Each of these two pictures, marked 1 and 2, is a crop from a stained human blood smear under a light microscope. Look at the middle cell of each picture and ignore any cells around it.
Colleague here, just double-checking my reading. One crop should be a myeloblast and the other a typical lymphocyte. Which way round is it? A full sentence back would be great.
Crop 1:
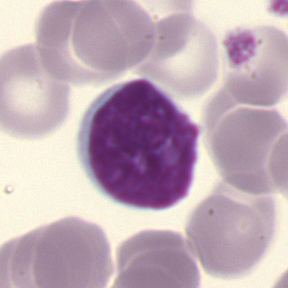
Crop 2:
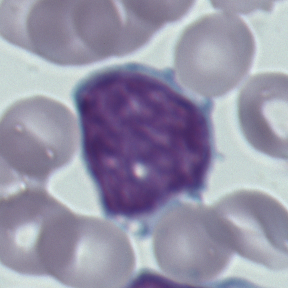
Crop 1 depicts a typical lymphocyte, and a myeloblast is depicted in crop 2.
